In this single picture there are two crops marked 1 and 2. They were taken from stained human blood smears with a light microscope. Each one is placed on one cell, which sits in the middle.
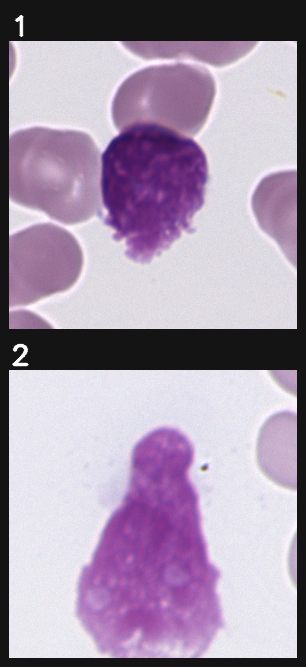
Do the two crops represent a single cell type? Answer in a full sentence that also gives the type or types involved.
Yes, the centre of both crops is taken up by smudge cells.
